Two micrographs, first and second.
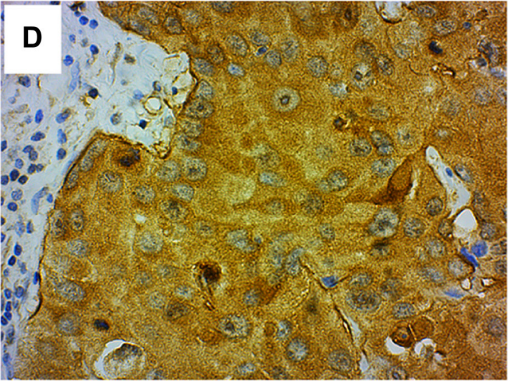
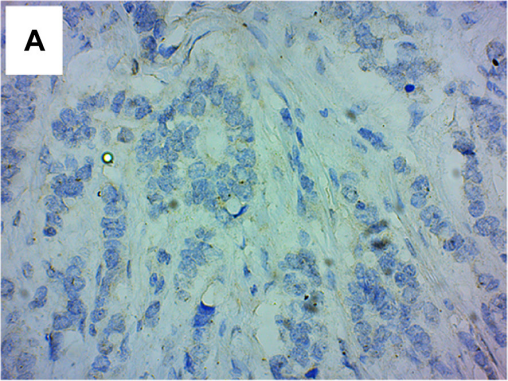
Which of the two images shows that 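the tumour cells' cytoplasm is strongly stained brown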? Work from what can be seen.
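The first image. First image: the cytoplasm of nearly all tumour cells is deep brown. Second image: tumour cells show only blue nuclei with no brown in the cytoplasm.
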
